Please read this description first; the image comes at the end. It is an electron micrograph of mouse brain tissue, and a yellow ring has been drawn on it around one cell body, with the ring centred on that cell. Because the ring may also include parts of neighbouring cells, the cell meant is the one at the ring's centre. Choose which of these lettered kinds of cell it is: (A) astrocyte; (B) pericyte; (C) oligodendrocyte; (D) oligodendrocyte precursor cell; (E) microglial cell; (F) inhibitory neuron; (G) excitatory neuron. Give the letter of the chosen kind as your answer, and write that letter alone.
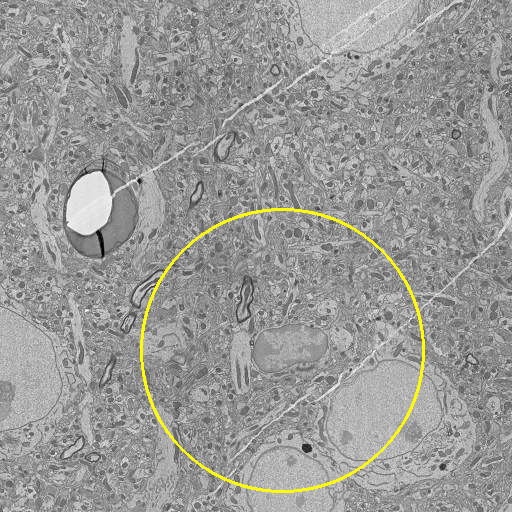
E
